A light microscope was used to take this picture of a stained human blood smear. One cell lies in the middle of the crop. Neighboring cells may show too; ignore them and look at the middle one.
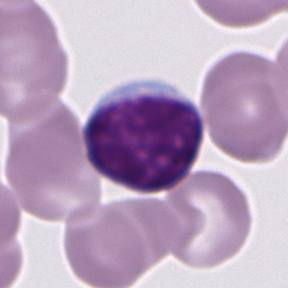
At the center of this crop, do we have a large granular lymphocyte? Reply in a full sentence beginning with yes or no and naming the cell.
No, the cell in the middle of the crop counts as a typical lymphocyte and not as a large granular lymphocyte.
